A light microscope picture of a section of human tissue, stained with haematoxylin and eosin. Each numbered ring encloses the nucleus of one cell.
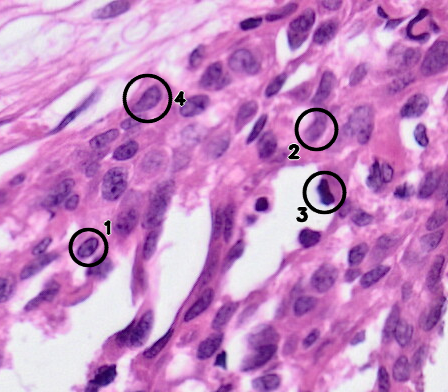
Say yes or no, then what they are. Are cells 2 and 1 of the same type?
No, the cell tagged 2 is a carcinoma cell, whereas the cell tagged 1 is a macrophage or monocyte.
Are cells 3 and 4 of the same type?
Yes, cells 3 and 4 both count as carcinoma cells.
